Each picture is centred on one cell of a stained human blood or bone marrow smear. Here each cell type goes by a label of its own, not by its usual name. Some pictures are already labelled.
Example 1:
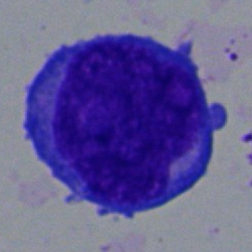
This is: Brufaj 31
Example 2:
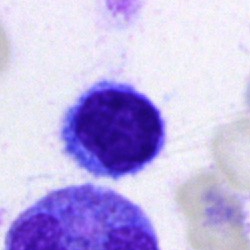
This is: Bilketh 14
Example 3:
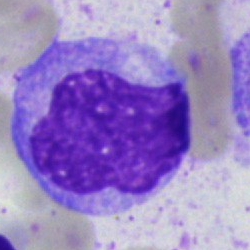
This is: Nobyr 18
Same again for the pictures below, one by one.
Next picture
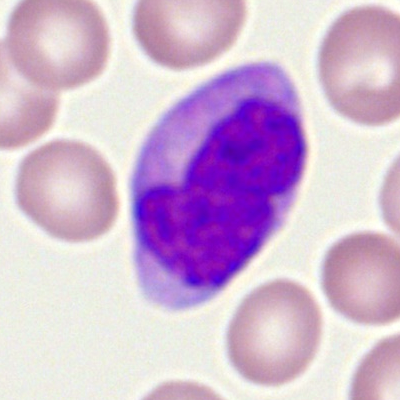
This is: Nobyr 18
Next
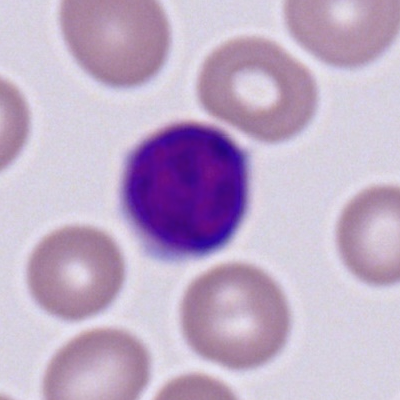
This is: Bilketh 14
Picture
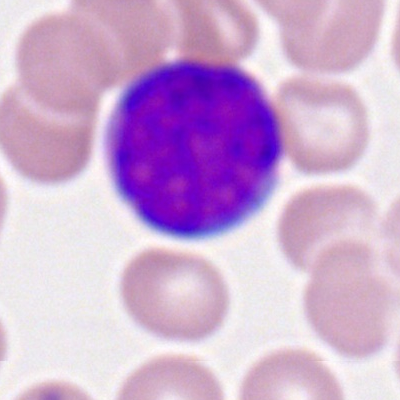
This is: Brufaj 31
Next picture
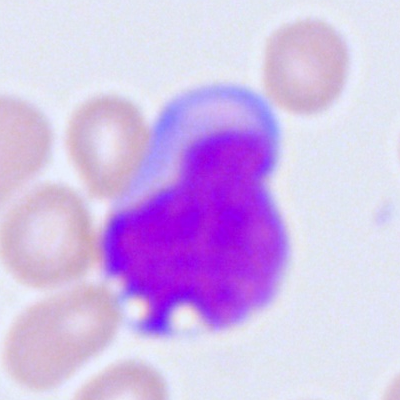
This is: Brufaj 31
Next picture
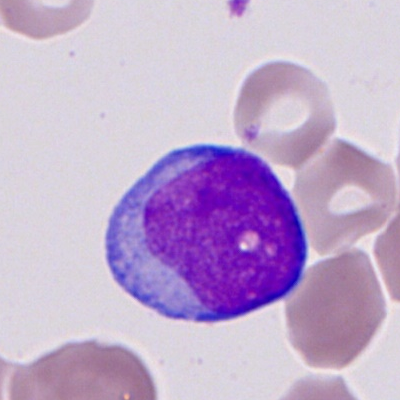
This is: Brufaj 31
